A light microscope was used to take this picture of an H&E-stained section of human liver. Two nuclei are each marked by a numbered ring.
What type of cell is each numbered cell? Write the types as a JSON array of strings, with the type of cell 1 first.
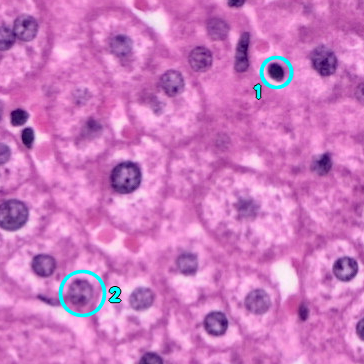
["lymphocyte", "hepatocyte"]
